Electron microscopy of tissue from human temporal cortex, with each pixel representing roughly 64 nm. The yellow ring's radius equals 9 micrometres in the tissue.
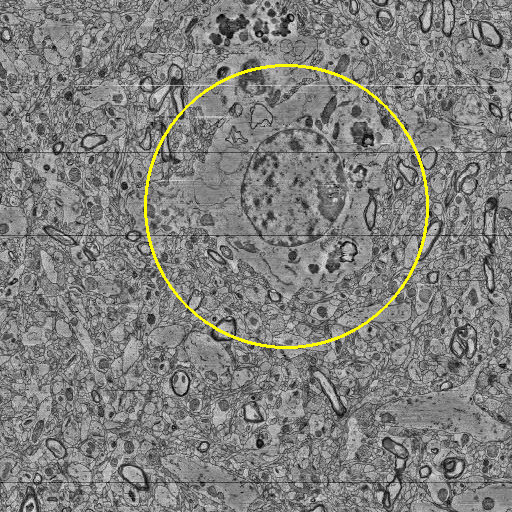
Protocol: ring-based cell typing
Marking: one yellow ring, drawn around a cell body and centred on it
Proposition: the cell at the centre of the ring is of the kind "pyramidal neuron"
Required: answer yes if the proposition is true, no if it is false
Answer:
no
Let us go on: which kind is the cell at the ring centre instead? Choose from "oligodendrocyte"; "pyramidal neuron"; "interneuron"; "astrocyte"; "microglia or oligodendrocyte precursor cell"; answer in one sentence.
What the ring is centred on is an astrocyte.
